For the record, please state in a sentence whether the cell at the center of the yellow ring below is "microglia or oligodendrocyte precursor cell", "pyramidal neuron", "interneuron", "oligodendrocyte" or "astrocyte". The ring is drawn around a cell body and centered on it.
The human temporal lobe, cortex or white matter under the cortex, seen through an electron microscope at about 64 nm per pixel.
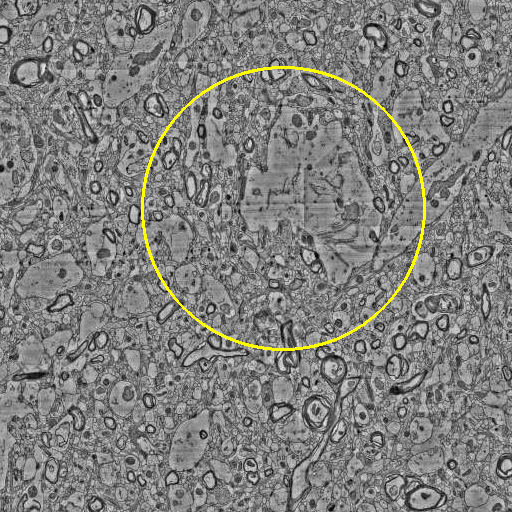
The cell at the ring's center is an astrocyte.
